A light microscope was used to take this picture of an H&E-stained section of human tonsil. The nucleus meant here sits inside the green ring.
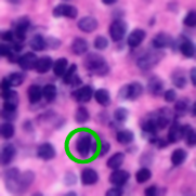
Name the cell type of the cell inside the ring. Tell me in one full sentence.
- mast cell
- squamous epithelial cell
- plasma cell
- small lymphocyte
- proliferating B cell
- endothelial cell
In cellular terms, the cell inside the ring is a small lymphocyte.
